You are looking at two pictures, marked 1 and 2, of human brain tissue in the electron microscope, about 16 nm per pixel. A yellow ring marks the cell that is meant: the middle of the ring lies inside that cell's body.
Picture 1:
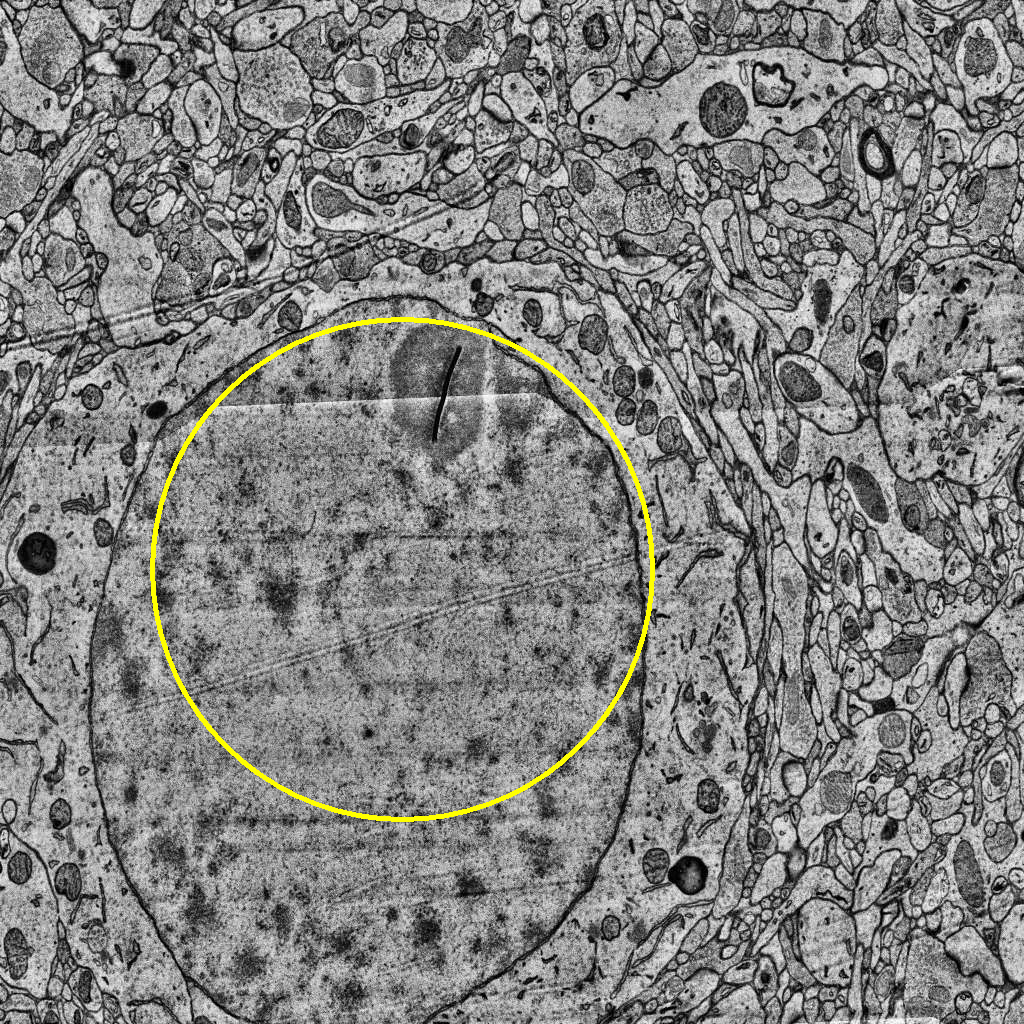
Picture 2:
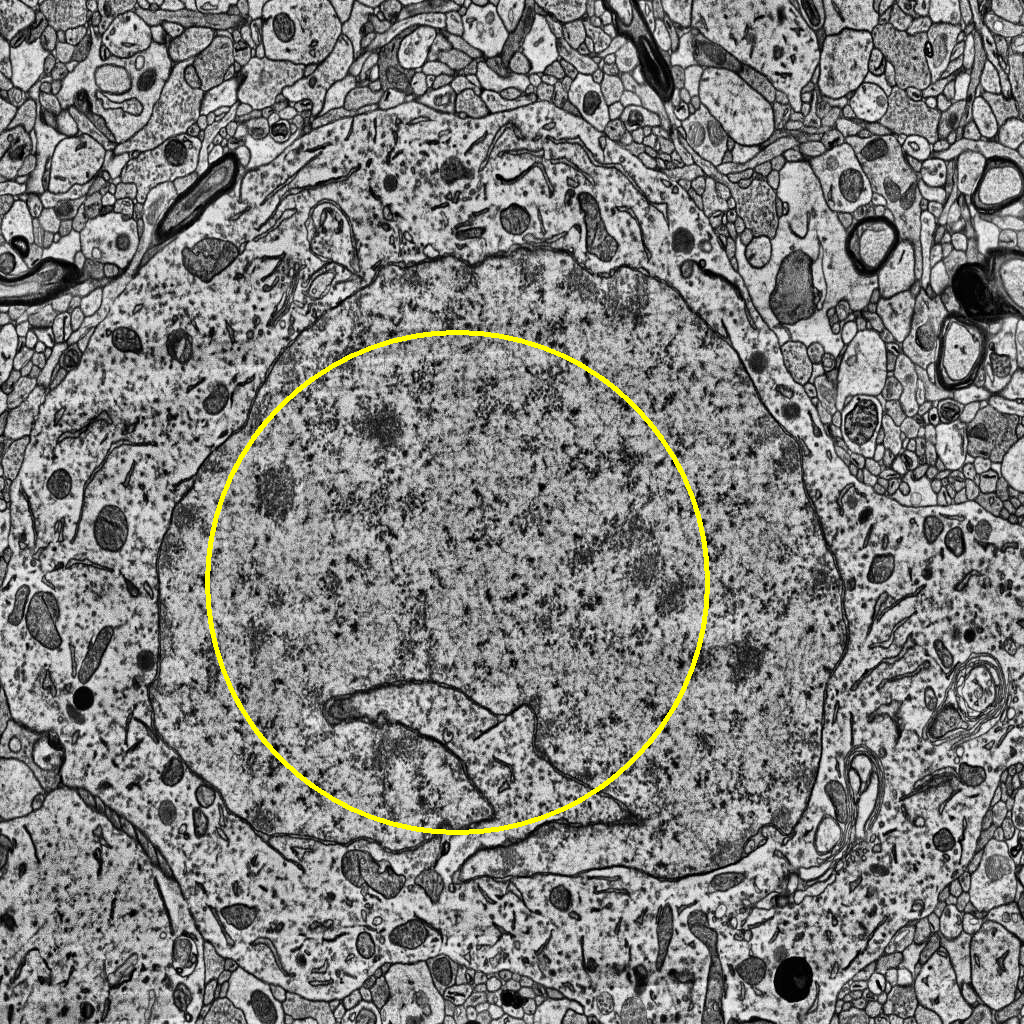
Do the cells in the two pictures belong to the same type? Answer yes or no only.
no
